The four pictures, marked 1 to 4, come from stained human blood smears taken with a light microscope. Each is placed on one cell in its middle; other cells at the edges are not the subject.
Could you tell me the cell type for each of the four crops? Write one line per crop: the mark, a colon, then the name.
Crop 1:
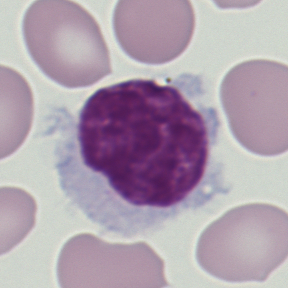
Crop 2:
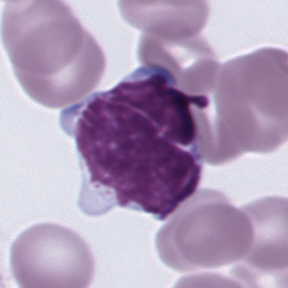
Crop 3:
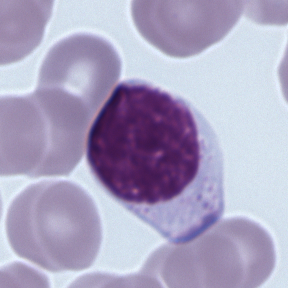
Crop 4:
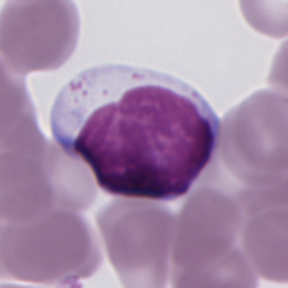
1: hairy cell
2: large granular lymphocyte
3: large granular lymphocyte
4: large granular lymphocyte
